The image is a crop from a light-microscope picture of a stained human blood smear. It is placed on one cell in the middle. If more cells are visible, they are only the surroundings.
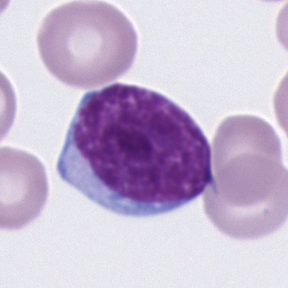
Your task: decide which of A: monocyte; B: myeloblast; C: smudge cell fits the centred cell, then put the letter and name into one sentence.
The cell in the middle is a myeloblast, and that makes option B correct.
